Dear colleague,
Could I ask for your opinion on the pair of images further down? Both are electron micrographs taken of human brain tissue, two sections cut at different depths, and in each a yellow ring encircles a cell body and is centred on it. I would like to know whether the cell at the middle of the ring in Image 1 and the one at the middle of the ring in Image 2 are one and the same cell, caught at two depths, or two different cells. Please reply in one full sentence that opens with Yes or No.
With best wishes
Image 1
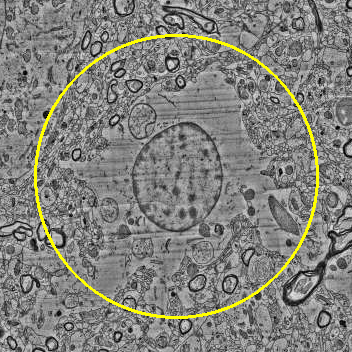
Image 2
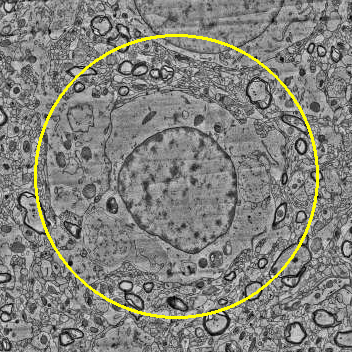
No, there are two different cells marked by the rings.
